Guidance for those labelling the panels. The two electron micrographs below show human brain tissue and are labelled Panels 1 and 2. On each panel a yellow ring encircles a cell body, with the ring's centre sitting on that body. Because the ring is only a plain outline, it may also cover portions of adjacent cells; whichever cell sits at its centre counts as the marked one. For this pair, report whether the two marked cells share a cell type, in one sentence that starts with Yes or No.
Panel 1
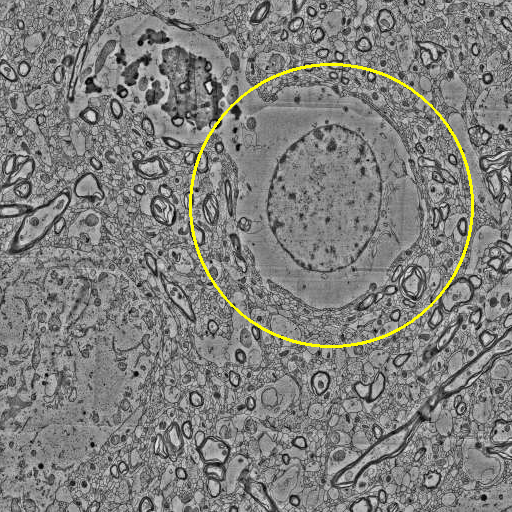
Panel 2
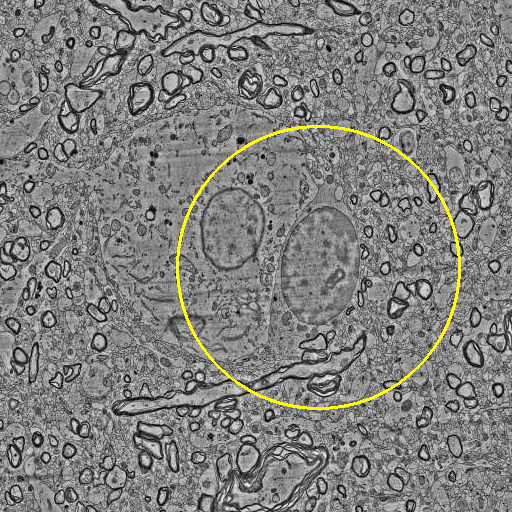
No, in Panel 1 and Panel 2 the marked cells at the ring centres are of two types.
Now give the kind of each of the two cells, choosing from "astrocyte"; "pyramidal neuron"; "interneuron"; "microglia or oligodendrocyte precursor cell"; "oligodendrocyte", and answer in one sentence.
The cell in the first picture is an astrocyte, and the cell in the second is an oligodendrocyte.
